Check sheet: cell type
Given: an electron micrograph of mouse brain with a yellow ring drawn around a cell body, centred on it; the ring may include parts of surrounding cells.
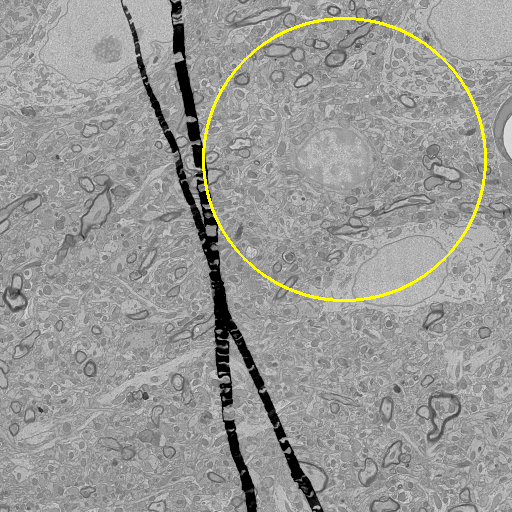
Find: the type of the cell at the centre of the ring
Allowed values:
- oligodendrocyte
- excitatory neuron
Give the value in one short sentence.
Here the ringed cell is an oligodendrocyte.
